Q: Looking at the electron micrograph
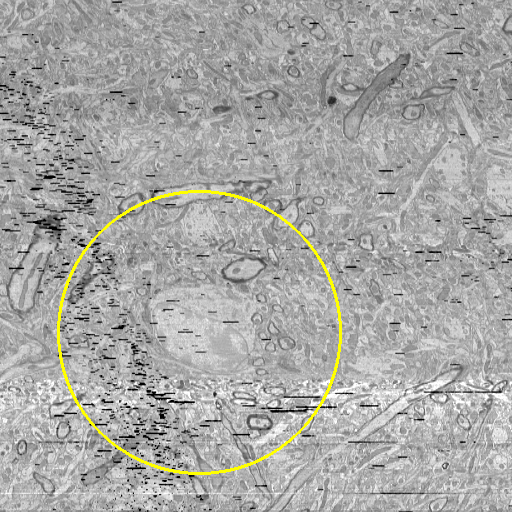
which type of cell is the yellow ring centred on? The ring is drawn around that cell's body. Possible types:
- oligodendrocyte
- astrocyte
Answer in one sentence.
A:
The yellow ring is centred on an oligodendrocyte.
